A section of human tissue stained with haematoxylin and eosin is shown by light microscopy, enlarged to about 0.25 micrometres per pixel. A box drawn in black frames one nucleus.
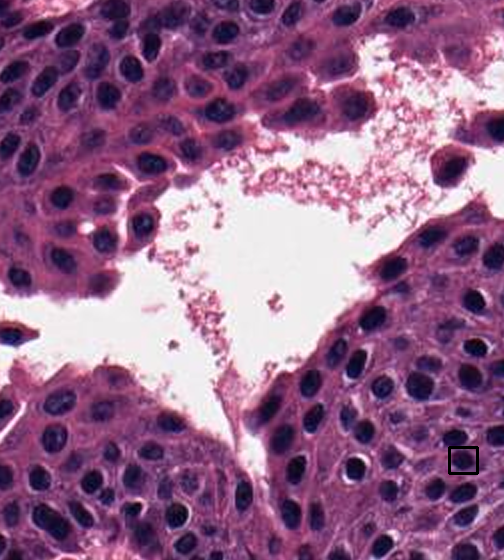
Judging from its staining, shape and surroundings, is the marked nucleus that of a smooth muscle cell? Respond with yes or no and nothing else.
no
